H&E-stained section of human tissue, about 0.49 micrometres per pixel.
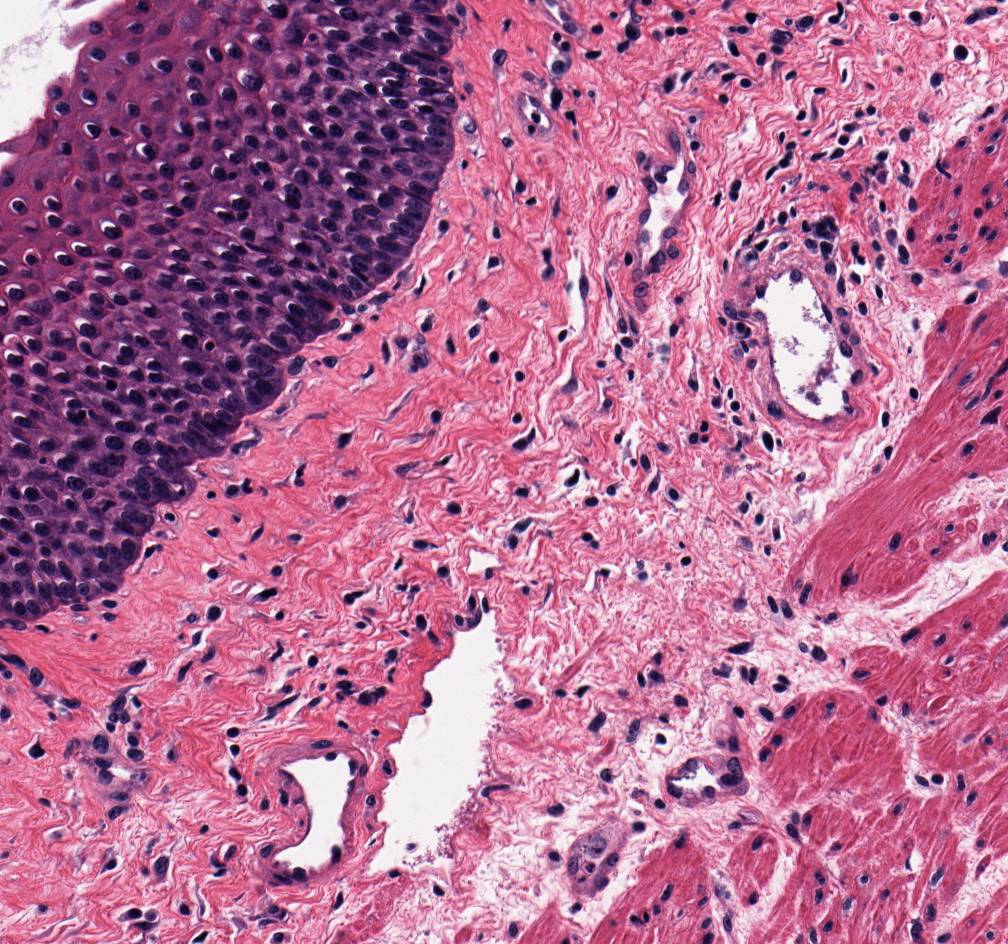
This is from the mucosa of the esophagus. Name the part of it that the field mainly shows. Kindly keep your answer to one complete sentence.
This histology image has as its subject the part called loose connective tissue.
